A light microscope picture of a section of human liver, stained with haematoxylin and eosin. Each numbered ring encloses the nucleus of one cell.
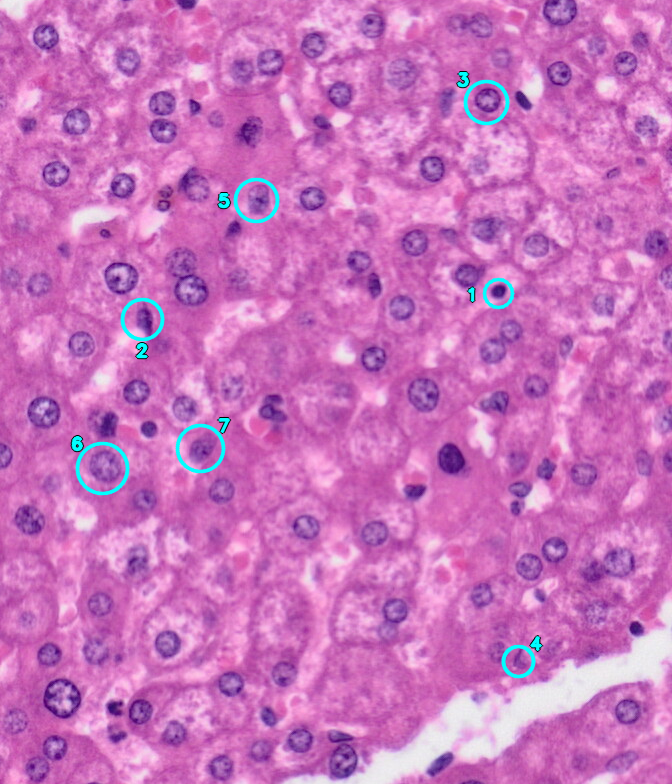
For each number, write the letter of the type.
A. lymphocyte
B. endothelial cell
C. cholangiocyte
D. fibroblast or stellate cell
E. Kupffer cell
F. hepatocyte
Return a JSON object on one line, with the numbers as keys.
{"1": "A", "2": "D", "3": "F", "4": "D", "5": "B", "6": "F", "7": "B"}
